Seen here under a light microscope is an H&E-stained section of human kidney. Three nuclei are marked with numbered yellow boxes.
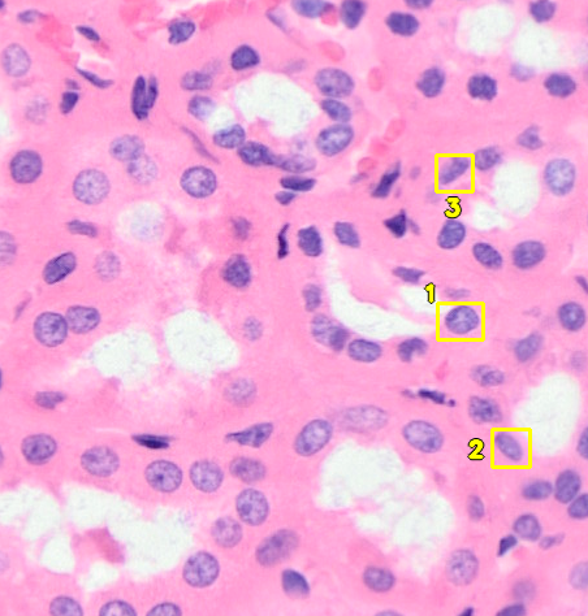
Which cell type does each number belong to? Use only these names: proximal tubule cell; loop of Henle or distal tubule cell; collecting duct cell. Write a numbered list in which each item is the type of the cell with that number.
1. loop of Henle or distal tubule cell
2. collecting duct cell
3. collecting duct cell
